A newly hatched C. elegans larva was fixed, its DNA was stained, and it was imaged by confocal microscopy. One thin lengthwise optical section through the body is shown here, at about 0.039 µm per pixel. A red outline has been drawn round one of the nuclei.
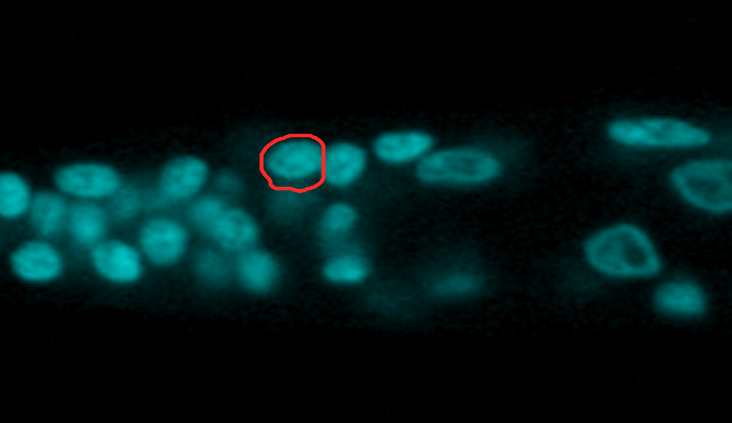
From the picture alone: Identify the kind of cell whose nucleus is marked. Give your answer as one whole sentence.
The marked nucleus is that of a neuron.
